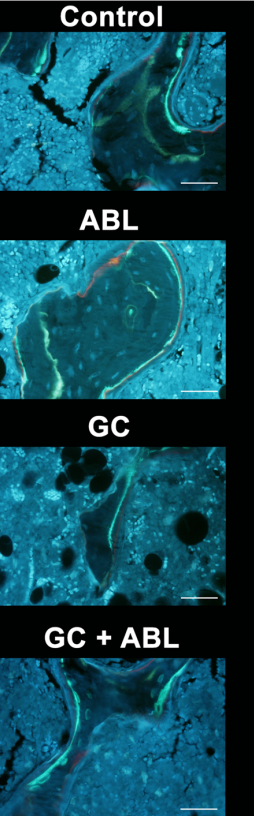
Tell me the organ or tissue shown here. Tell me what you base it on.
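Trabecular bone. Smooth, dense pieces of bone matrix run through the fields. The bone pieces are surrounded by a granular, cell-rich marrow space. Thin bright fluorescent lines run along the bone surfaces.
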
